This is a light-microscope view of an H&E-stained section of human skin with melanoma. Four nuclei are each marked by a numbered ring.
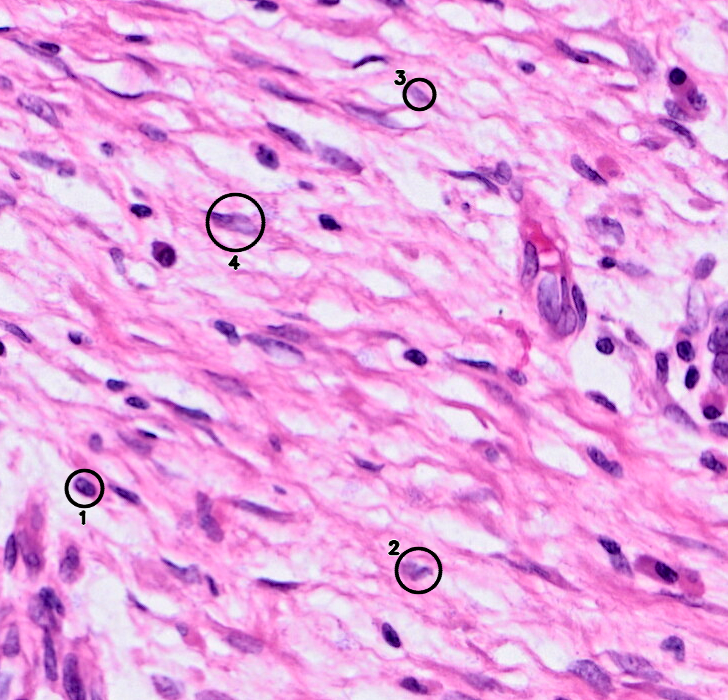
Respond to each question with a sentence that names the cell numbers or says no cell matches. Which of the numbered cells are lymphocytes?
Exactly one numbered cell is a lymphocyte, and that cell is number 1.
